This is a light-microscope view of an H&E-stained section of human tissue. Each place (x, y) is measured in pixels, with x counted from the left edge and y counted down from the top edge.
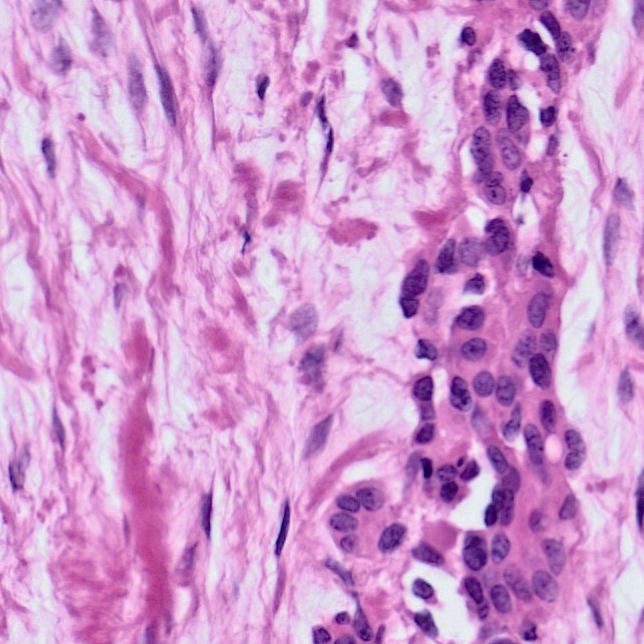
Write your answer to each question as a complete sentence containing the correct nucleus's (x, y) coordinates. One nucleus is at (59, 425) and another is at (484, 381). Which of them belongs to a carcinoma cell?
So, of the two, the nucleus at (484, 381) is the one belonging to a carcinoma cell.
